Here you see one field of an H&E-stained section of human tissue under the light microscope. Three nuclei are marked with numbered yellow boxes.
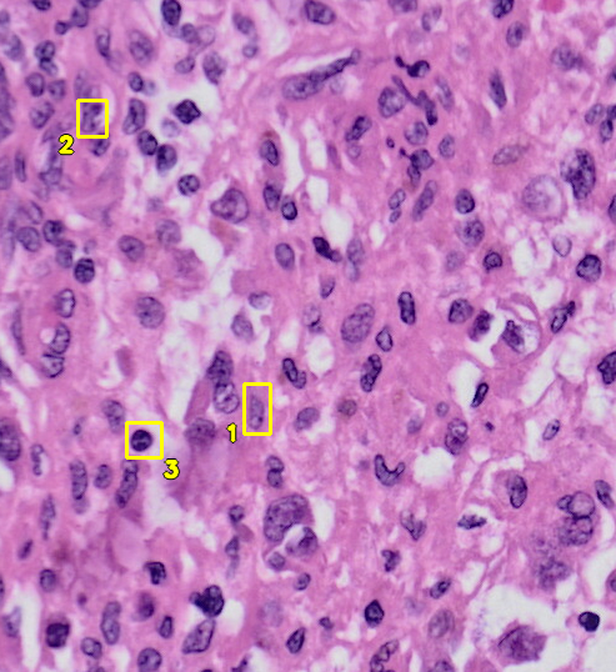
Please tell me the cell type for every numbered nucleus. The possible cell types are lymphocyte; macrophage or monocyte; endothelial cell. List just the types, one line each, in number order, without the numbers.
macrophage or monocyte
endothelial cell
lymphocyte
